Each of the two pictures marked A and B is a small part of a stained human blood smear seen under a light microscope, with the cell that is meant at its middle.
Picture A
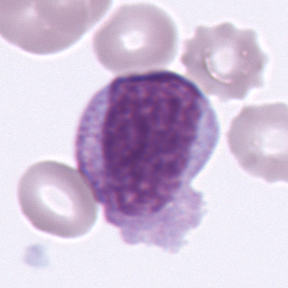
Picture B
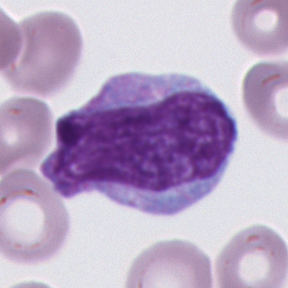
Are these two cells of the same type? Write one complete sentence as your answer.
Yes, the two pictures both show atypical promyelocytes.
